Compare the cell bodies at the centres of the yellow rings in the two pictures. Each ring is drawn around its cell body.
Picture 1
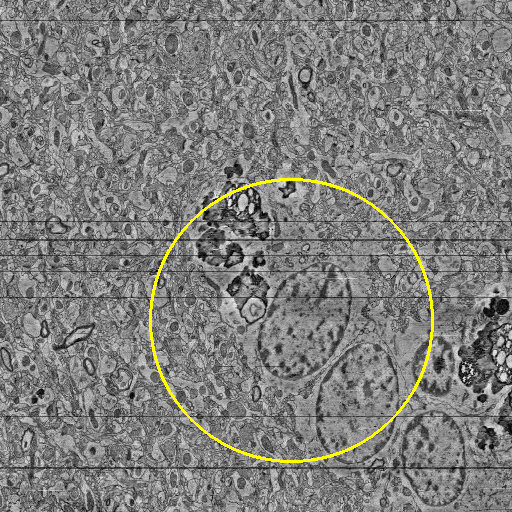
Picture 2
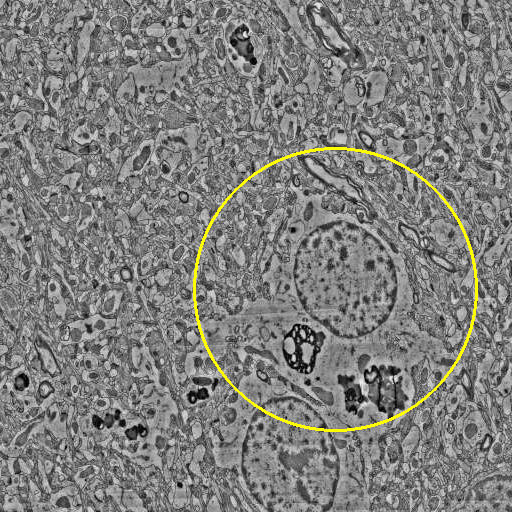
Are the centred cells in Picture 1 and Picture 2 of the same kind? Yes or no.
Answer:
yes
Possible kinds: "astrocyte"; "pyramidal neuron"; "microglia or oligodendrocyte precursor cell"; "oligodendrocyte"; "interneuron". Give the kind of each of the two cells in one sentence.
In each of the two pictures, the ringed cell is an astrocyte.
